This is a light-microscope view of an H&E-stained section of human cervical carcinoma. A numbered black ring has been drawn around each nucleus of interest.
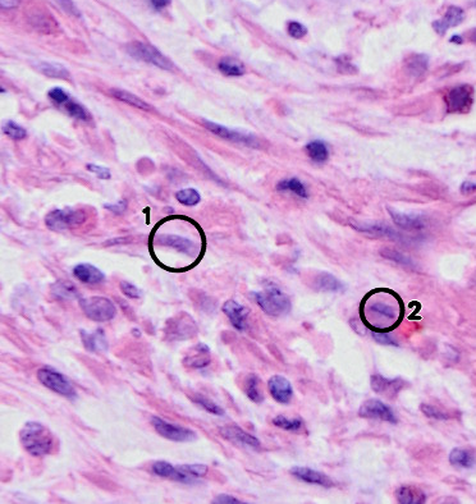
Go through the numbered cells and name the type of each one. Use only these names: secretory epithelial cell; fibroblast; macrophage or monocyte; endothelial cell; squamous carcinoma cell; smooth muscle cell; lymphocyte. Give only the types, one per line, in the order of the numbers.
fibroblast
endothelial cell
